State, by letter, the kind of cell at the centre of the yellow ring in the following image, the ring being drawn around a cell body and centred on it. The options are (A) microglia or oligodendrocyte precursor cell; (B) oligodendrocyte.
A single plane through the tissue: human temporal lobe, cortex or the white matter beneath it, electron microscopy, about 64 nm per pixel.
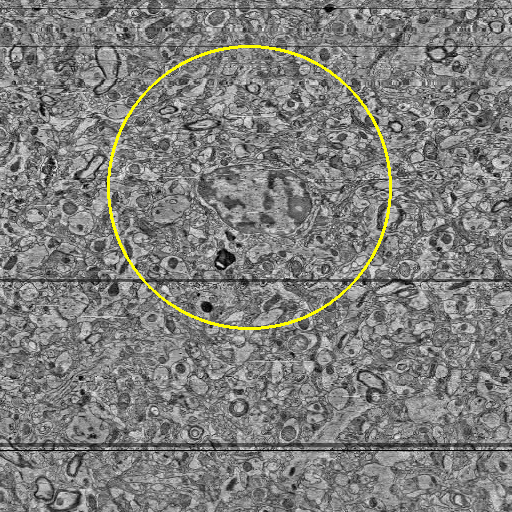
A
